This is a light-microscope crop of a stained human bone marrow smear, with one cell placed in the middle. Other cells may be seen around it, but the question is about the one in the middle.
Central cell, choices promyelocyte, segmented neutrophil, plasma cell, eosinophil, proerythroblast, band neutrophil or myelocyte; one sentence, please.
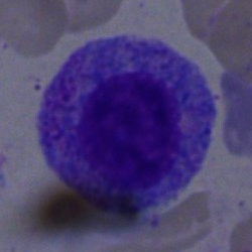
Classification of the middle cell gives a myelocyte.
